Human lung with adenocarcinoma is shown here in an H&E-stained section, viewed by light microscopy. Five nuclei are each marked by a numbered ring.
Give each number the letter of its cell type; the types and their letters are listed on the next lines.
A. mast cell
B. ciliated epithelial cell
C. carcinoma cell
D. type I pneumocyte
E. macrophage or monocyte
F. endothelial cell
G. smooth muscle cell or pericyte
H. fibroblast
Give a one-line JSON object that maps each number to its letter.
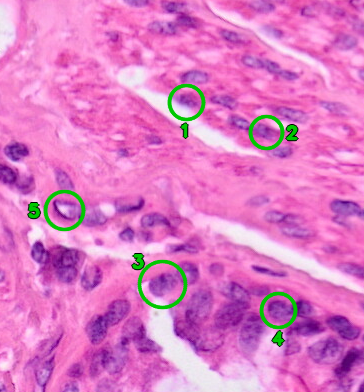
{"1": "G", "2": "G", "3": "B", "4": "B", "5": "F"}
